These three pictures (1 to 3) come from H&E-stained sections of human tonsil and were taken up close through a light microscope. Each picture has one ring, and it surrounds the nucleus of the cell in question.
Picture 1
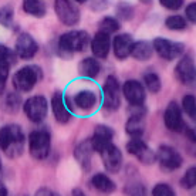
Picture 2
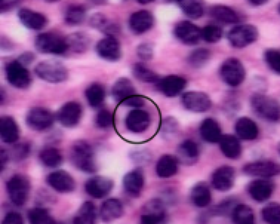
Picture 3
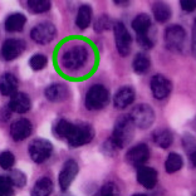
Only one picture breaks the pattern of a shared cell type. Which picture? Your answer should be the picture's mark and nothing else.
3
